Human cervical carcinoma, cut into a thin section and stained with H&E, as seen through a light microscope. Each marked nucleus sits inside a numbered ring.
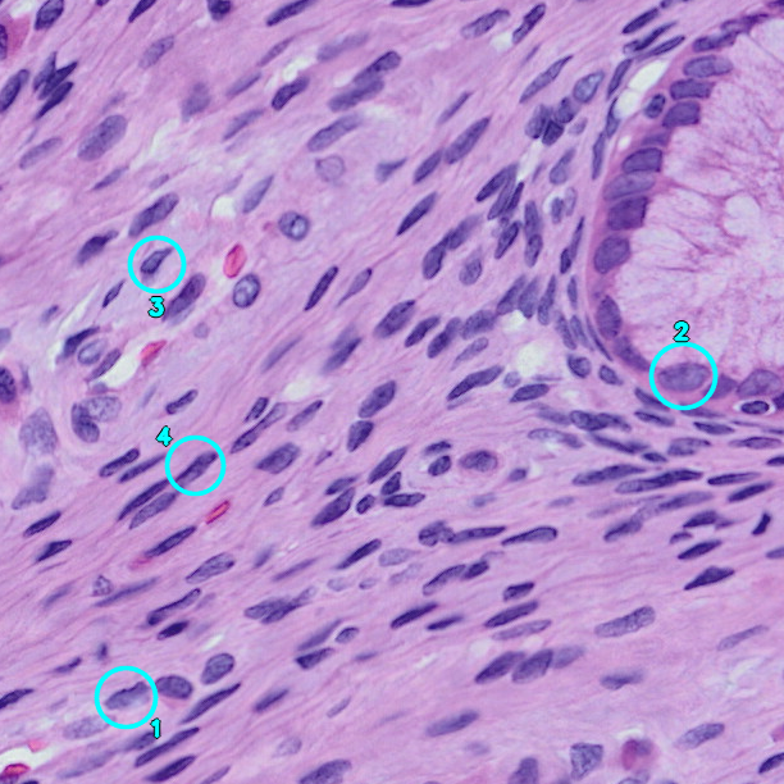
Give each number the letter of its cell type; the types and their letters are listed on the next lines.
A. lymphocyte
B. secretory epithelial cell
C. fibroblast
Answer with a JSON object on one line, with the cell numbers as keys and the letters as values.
{"1": "C", "2": "B", "3": "C", "4": "C"}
